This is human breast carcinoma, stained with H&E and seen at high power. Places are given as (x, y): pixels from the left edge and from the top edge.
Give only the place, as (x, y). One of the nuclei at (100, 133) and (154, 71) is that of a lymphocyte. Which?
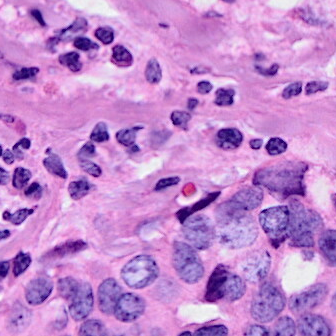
(100, 133)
